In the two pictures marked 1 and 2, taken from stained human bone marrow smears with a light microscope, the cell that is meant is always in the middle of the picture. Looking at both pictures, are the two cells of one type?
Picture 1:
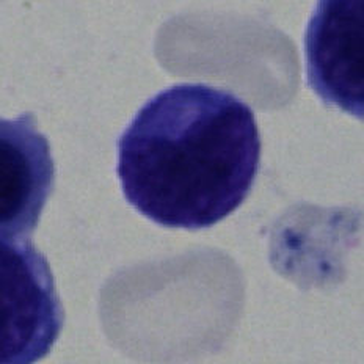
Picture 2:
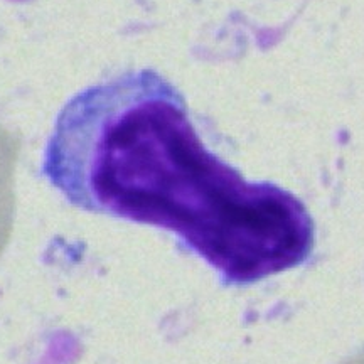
yes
